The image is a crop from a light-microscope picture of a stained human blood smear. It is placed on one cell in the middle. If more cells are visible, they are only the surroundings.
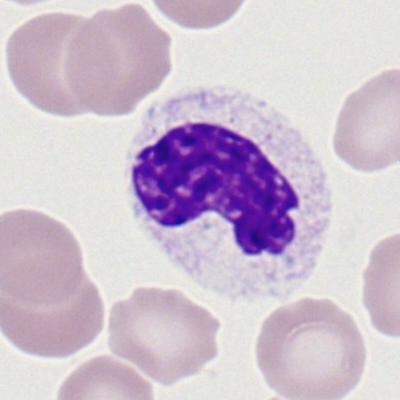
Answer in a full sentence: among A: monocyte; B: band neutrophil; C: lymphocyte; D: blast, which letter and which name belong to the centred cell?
Option B, which names the central cell as a band neutrophil, is correct.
